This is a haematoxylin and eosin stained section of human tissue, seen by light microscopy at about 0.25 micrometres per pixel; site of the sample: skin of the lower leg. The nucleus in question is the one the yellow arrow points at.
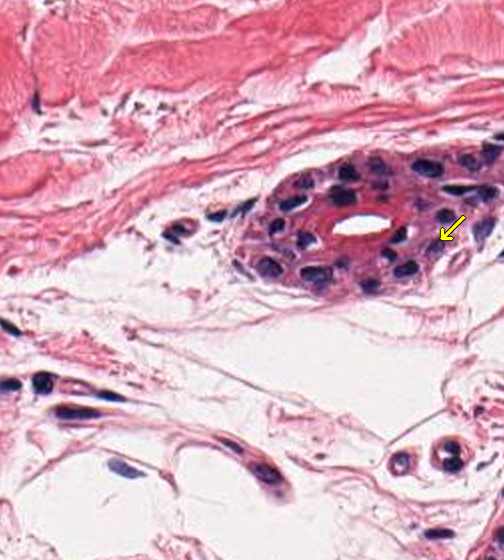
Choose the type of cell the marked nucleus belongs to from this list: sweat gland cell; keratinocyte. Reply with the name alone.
sweat gland cell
